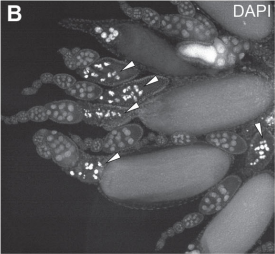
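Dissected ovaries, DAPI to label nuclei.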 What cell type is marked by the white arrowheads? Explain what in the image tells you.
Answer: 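The arrowheads point at mid-stage egg chambers. These egg chambers hold small, very bright, compact nuclear fragments. Neighbouring egg chambers have large, evenly stained round nuclei.
Hence: apoptotic cells.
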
